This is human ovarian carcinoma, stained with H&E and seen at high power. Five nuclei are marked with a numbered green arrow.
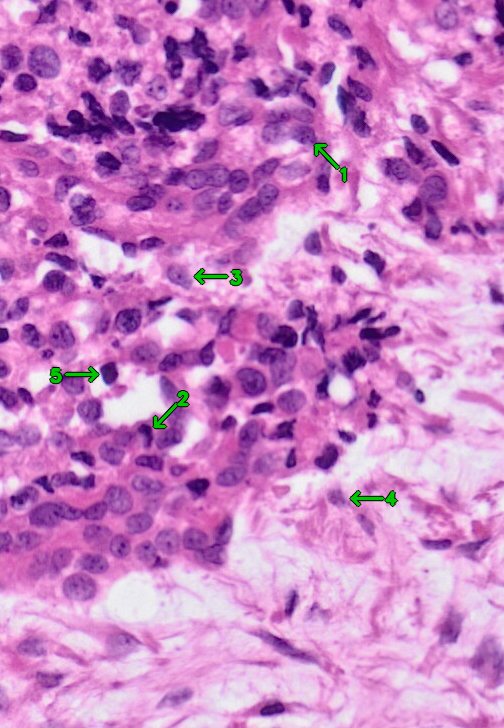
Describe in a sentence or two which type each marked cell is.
Cell 1 is a carcinoma cell, cell 2 is a carcinoma cell, cell 3 is a macrophage or monocyte, cell 4 is a fibroblast and cell 5 is a carcinoma cell.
